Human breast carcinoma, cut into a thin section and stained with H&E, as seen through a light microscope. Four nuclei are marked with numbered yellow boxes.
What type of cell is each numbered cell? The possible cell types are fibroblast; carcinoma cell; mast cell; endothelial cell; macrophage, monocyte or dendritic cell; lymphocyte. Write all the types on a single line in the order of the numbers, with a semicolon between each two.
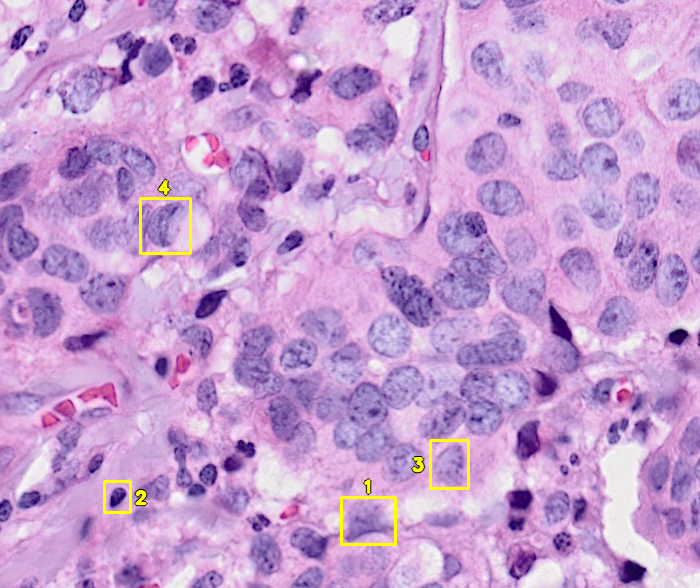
carcinoma cell; lymphocyte; carcinoma cell; carcinoma cell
